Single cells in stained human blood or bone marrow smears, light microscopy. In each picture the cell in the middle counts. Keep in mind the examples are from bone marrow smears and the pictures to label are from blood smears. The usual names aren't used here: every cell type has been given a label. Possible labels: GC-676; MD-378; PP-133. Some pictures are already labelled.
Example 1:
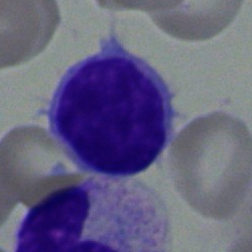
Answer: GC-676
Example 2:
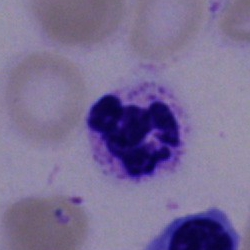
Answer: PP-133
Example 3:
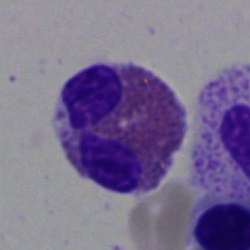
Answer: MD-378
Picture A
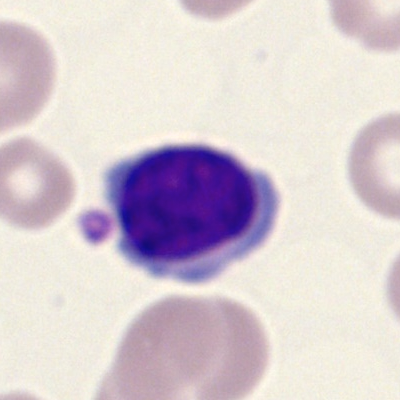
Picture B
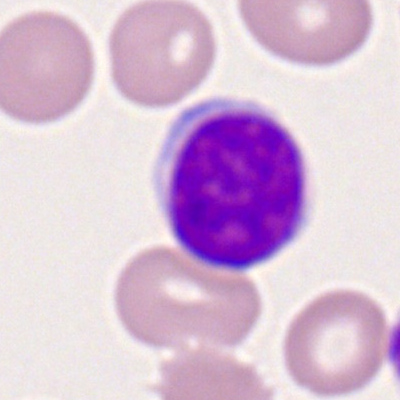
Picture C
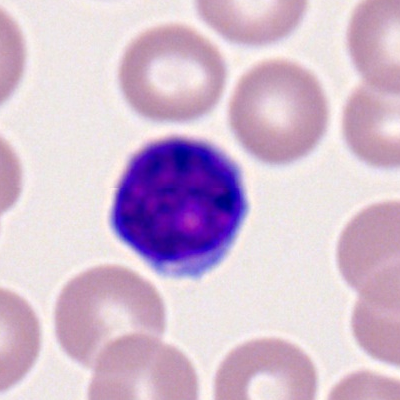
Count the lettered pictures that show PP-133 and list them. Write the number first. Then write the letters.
0, none of them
